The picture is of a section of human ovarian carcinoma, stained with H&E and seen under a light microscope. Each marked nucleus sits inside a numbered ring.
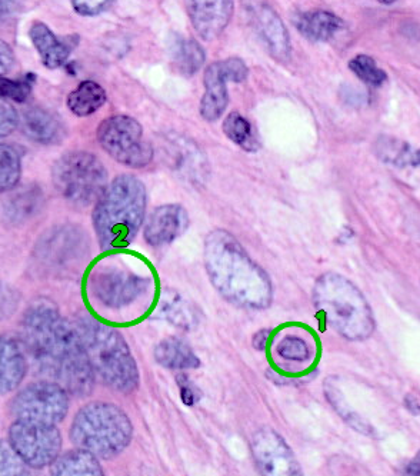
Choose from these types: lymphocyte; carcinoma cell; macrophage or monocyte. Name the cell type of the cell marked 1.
macrophage or monocyte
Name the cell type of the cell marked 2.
carcinoma cell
